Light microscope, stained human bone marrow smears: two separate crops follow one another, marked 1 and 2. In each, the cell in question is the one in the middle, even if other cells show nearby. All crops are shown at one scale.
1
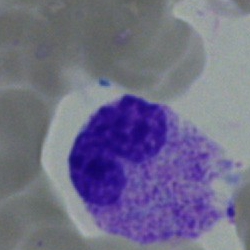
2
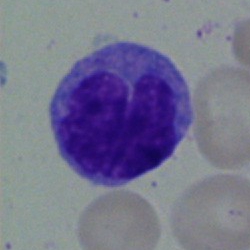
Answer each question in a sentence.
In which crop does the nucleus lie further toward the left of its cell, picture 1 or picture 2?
In picture 1 the nucleus is shifted more toward the left.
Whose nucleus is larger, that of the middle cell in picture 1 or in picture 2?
Larger is the nucleus in picture 2, at roughly 1.5 times the area of the other.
